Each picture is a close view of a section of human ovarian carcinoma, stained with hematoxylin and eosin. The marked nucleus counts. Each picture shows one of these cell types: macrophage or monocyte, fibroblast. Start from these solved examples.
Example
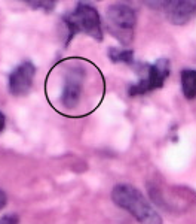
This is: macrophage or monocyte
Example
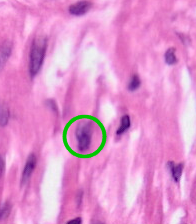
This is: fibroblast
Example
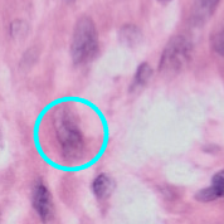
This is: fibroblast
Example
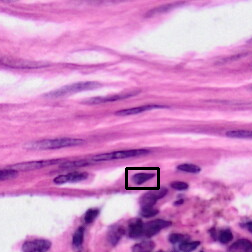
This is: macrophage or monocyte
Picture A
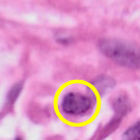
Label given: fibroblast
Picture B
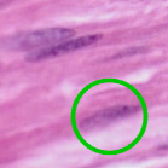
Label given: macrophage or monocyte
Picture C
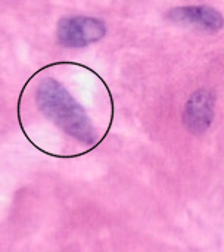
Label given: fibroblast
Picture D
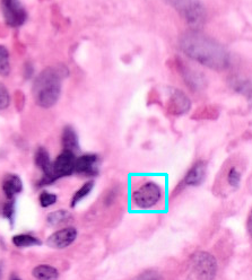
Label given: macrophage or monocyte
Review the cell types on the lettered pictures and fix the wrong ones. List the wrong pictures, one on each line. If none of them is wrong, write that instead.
Wrong: A (fibroblast); correct: macrophage or monocyte
Wrong: B (macrophage or monocyte); correct: fibroblast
